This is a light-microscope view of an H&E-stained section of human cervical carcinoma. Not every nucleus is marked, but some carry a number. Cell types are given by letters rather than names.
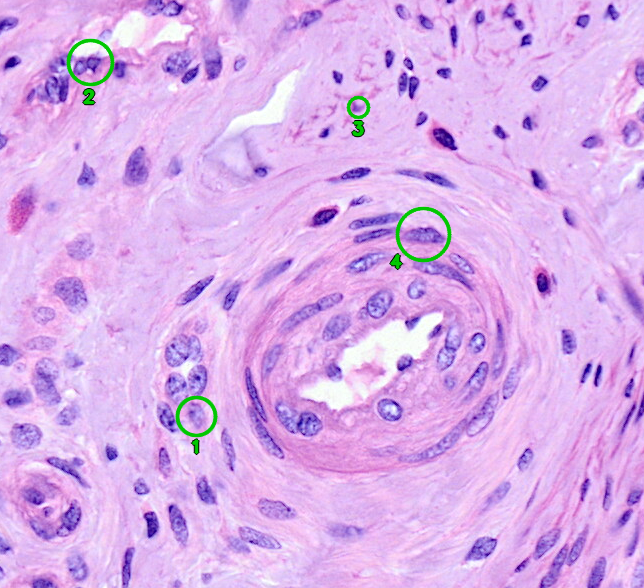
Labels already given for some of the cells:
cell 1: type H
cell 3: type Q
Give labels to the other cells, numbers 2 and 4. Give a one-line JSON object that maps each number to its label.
{"2": "type H", "4": "type Q"}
